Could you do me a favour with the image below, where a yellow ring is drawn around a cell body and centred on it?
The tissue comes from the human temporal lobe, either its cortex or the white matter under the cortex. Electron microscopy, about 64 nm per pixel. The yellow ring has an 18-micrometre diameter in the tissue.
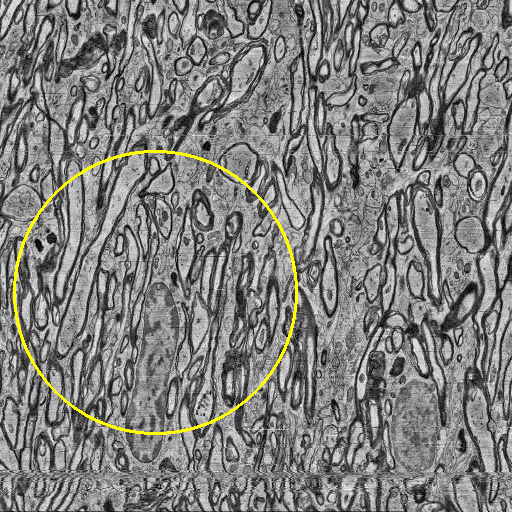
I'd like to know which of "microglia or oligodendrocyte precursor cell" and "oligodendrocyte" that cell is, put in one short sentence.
The cell at the ring's centre is a microglial cell or oligodendrocyte precursor cell.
